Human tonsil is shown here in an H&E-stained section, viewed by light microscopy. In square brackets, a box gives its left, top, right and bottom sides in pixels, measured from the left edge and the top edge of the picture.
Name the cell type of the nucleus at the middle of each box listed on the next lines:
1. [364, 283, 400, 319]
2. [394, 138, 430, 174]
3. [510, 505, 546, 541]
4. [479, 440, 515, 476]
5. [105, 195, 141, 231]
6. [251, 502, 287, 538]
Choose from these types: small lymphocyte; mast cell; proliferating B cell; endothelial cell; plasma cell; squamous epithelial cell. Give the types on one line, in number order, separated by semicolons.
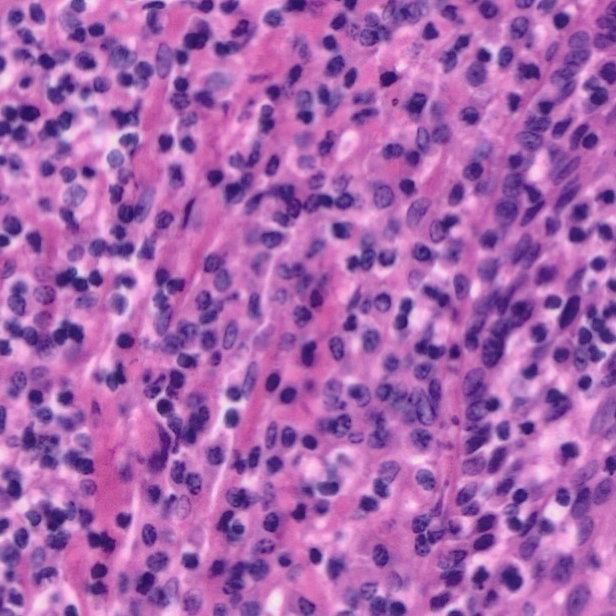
plasma cell; plasma cell; squamous epithelial cell; squamous epithelial cell; plasma cell; plasma cell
